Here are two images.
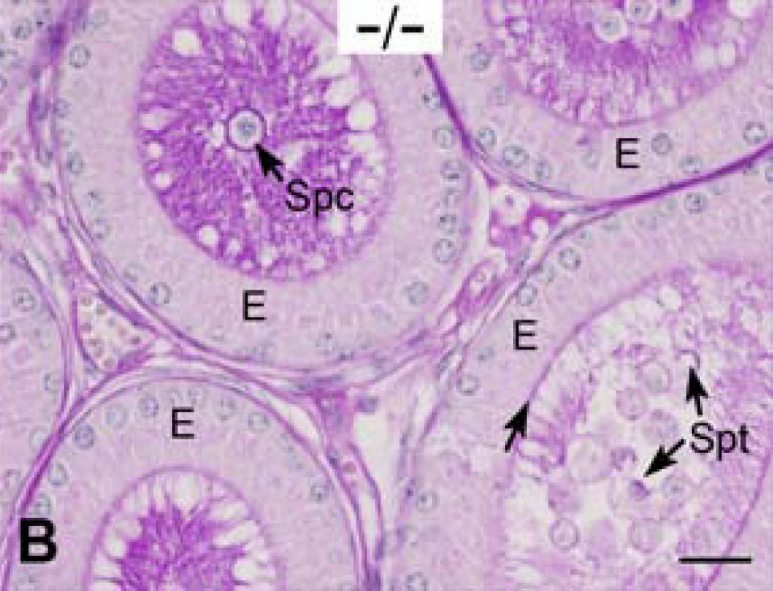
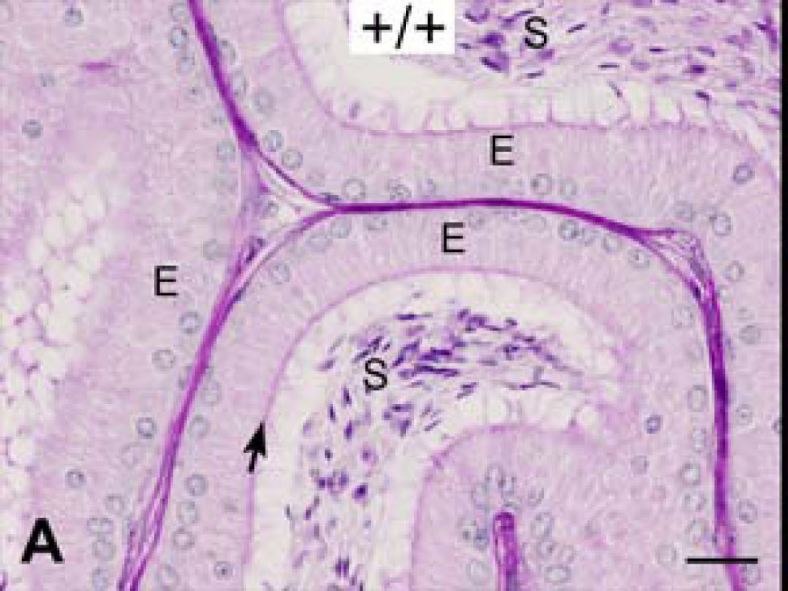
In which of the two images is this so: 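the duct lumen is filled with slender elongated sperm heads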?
The second image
